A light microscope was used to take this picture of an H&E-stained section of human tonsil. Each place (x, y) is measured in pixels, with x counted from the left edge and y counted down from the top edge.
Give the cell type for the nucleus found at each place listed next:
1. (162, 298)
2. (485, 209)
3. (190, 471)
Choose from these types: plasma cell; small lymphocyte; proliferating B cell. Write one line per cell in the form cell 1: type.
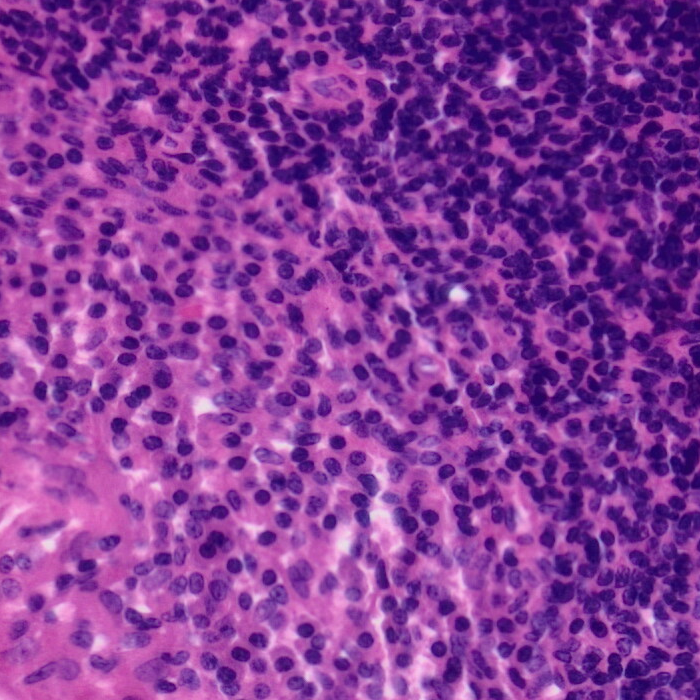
cell 1: plasma cell
cell 2: small lymphocyte
cell 3: plasma cell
